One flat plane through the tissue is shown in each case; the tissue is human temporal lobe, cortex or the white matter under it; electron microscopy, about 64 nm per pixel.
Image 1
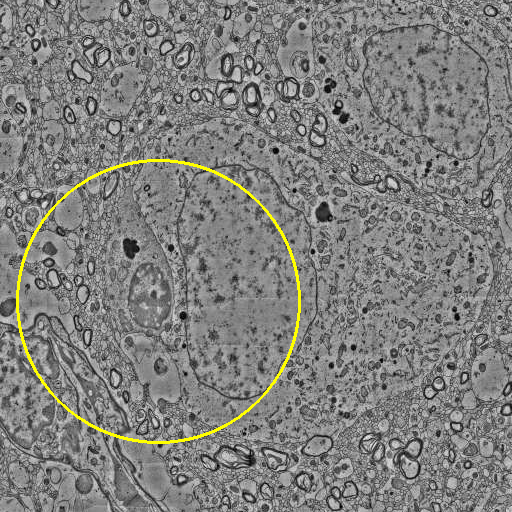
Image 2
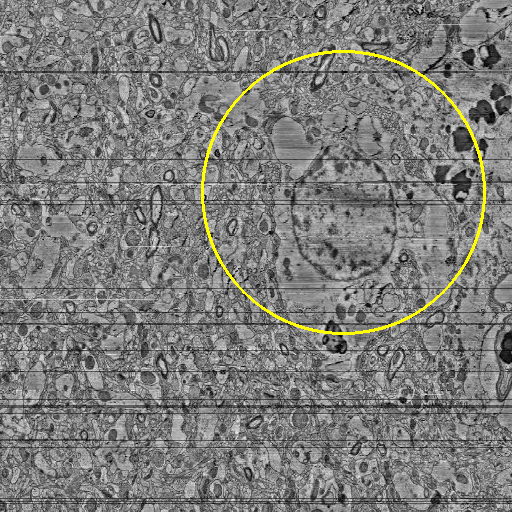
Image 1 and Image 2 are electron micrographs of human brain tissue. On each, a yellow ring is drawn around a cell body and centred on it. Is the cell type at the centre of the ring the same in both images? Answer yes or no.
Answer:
no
